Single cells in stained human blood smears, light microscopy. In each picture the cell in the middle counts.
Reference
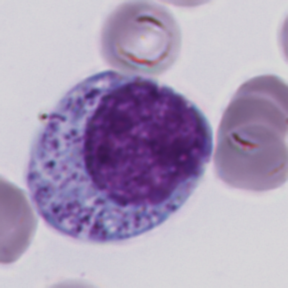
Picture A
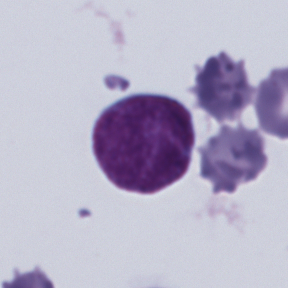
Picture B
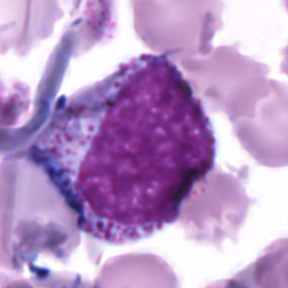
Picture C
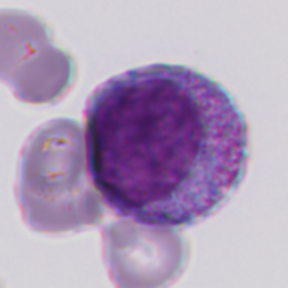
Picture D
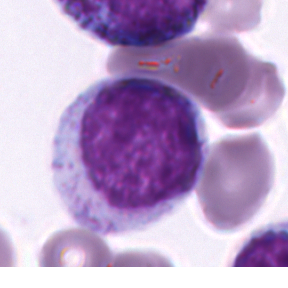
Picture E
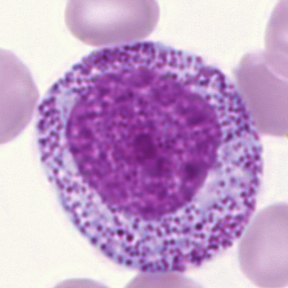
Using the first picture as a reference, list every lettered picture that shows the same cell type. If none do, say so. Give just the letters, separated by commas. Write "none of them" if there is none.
B, C, D, E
